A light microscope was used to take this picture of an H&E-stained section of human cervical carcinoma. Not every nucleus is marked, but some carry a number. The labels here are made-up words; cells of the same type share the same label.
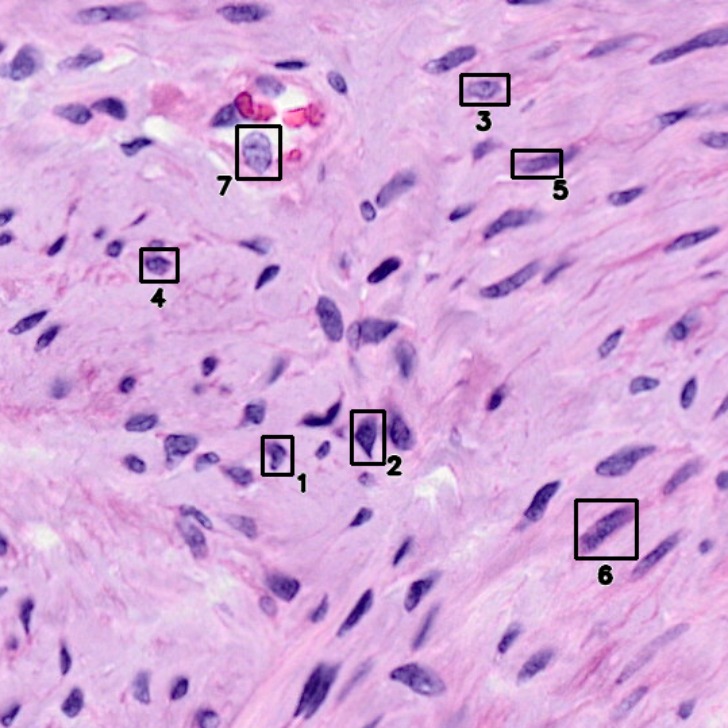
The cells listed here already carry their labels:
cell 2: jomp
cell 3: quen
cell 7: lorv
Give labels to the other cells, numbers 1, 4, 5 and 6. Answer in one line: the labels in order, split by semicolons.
jomp; quen; quen; quen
